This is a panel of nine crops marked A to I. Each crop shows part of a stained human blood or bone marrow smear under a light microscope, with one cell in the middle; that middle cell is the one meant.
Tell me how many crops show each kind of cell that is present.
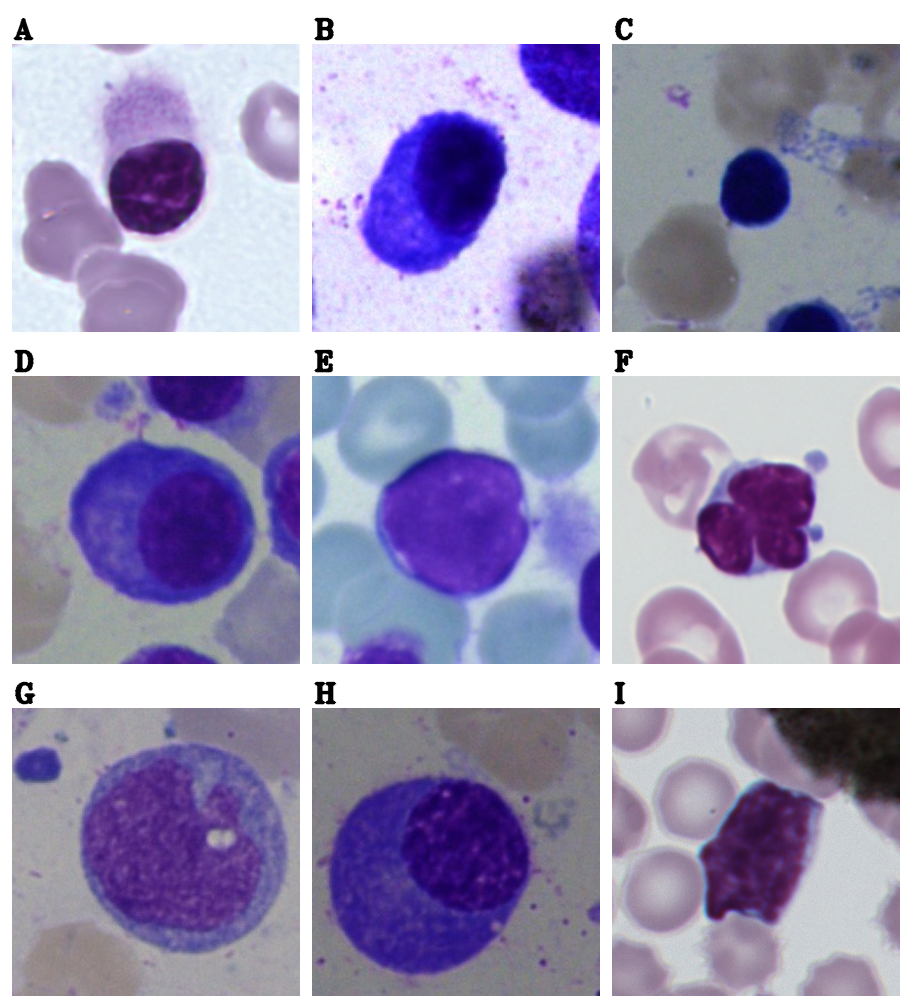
plasma cell: 4
lymphocyte: 4
blast: 1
